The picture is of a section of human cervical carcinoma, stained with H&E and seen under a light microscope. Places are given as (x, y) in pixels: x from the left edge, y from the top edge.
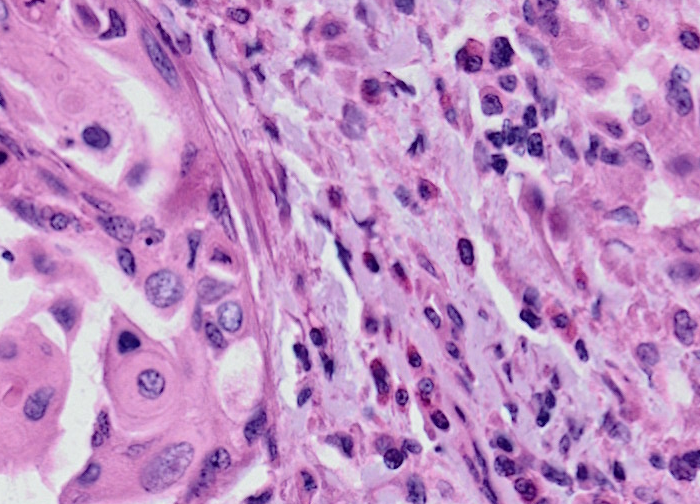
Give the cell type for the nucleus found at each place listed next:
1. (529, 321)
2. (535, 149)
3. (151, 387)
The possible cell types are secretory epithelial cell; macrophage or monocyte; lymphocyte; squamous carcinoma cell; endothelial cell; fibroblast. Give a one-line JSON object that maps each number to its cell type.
{"1": "lymphocyte", "2": "lymphocyte", "3": "squamous carcinoma cell"}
